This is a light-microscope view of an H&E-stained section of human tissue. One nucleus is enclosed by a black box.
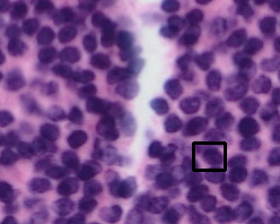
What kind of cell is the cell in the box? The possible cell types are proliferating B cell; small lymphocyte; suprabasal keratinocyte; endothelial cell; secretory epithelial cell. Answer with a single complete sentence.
Within the stained tissue, the cell in the box is a small lymphocyte.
